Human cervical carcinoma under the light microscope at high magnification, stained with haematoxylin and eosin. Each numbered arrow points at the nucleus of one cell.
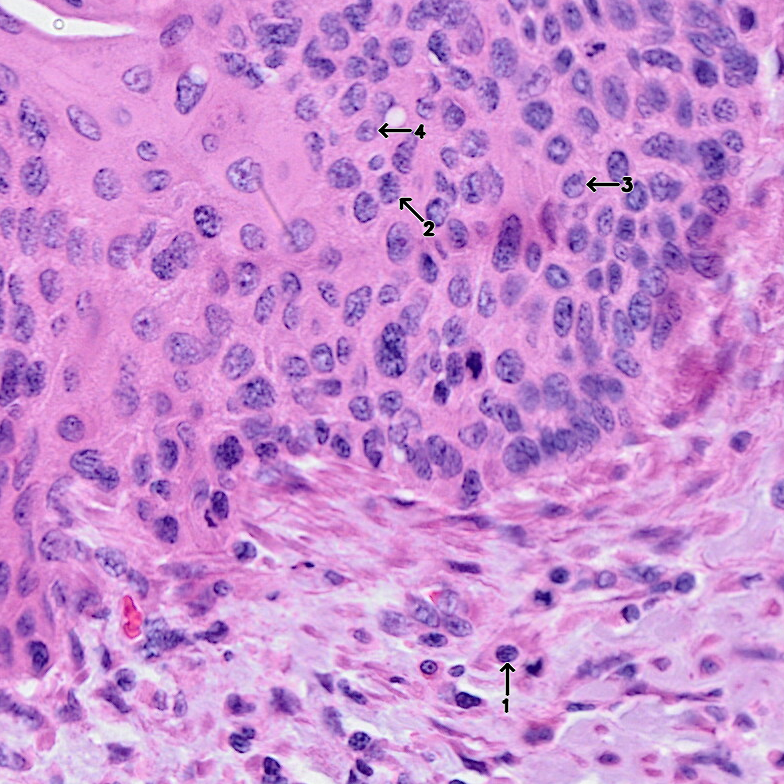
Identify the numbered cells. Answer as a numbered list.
1. lymphocyte
2. squamous carcinoma cell
3. squamous carcinoma cell
4. squamous carcinoma cell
